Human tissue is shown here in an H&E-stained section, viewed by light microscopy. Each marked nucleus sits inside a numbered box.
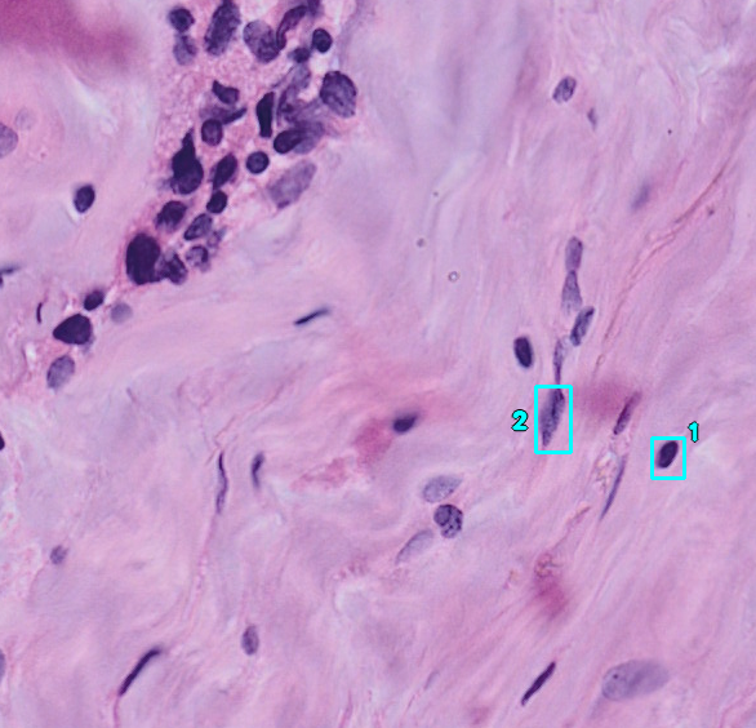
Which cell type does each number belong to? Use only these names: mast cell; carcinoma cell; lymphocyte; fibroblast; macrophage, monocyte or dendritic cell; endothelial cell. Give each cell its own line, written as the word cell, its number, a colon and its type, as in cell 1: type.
cell 1: lymphocyte
cell 2: fibroblast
